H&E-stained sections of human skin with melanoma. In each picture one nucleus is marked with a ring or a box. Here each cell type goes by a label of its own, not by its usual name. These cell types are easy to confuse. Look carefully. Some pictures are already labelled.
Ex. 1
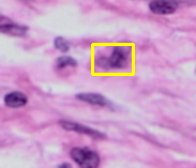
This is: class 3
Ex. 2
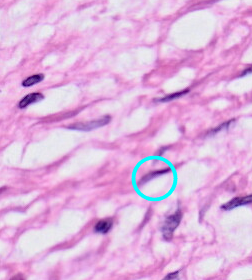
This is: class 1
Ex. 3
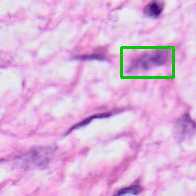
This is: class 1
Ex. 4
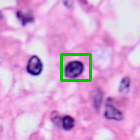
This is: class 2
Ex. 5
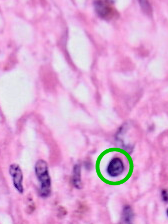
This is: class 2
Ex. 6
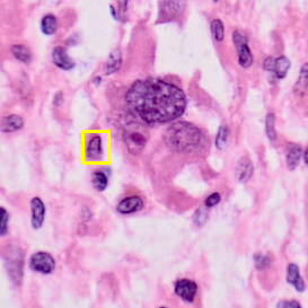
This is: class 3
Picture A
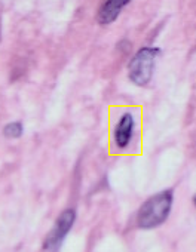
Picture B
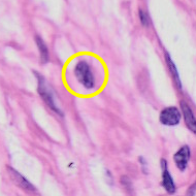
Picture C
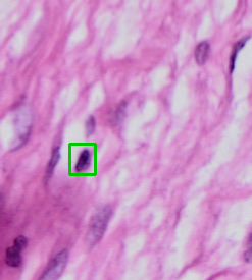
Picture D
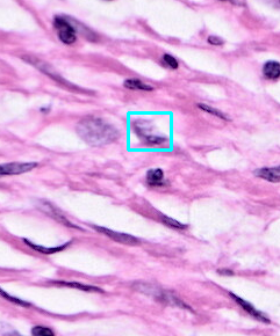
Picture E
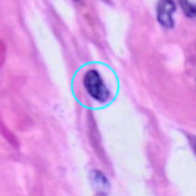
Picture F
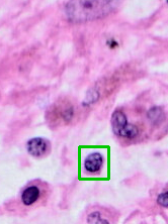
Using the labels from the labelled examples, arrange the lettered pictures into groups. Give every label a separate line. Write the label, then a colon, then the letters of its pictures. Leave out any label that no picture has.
class 1: D
class 2: A, B, C, E, F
